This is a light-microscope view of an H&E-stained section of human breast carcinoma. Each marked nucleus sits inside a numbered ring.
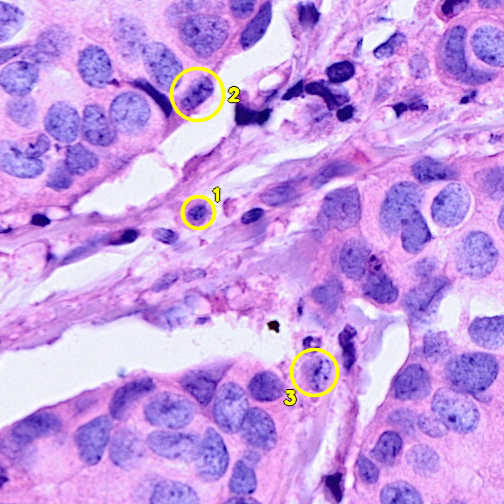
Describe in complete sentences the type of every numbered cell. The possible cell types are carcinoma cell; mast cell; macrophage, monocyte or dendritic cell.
Cell 1 is a mast cell. Cell 2 is a carcinoma cell. Cell 3 is a macrophage, monocyte or dendritic cell.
